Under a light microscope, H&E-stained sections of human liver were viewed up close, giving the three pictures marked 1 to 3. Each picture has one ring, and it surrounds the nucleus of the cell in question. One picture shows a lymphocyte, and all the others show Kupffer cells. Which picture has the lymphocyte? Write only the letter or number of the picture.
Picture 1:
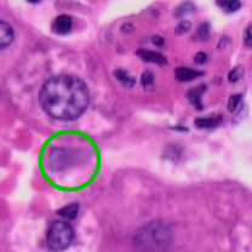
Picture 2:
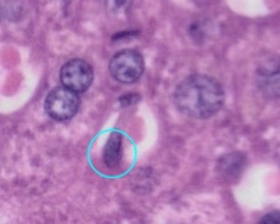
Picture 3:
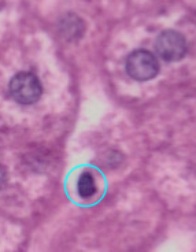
3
